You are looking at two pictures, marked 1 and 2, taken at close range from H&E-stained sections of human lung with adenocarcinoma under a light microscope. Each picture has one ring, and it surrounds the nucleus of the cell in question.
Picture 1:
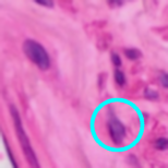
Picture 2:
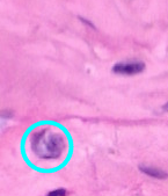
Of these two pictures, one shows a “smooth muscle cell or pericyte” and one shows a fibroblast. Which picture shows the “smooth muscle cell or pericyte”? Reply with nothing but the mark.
1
